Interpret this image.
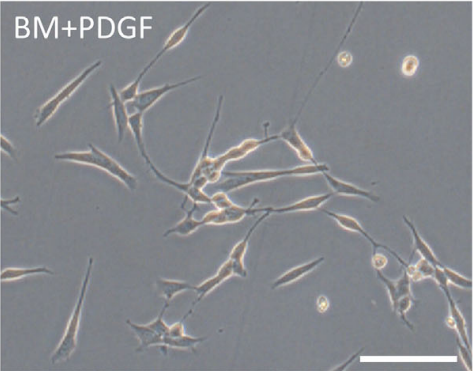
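Some cells cluster in a loose group joined by processes. A few small round, refractile cells lie apart from the others.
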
